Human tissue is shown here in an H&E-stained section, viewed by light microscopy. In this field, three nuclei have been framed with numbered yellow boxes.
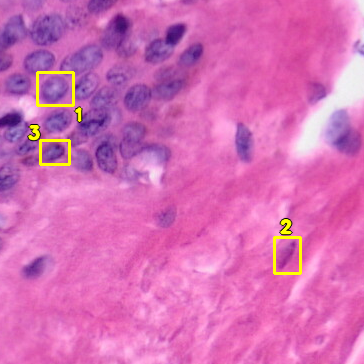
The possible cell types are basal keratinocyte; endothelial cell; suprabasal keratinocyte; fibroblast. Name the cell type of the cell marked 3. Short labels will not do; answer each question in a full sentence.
Classified as a basal keratinocyte is the cell with the number 3.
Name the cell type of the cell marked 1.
The cell that goes by number 1 is a suprabasal keratinocyte.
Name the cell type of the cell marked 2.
Number 2 among the marked cells is a fibroblast.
